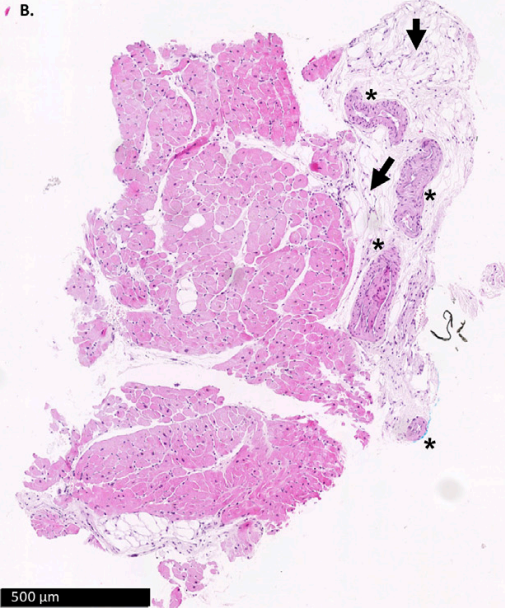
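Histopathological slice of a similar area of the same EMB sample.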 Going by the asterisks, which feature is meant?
Arteries.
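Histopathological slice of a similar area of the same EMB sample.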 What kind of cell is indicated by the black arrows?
Adipocytes.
